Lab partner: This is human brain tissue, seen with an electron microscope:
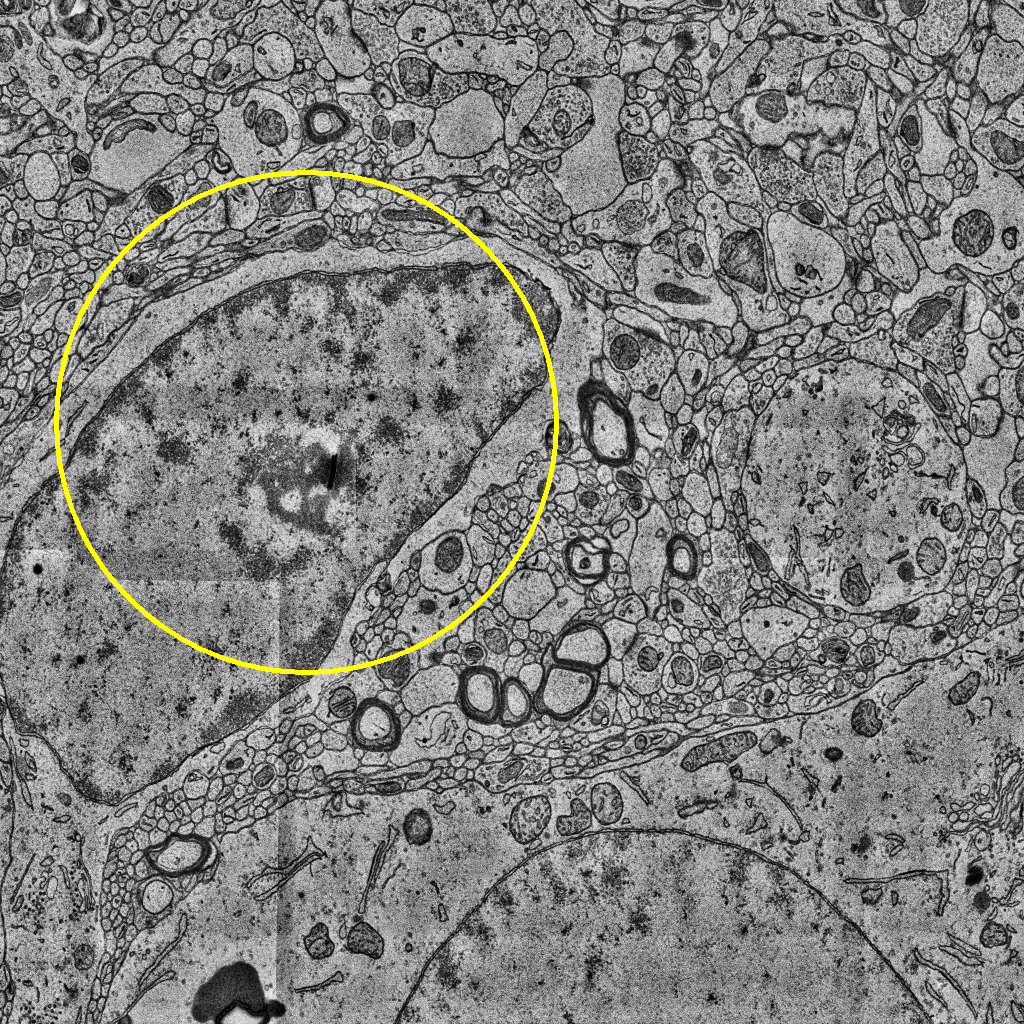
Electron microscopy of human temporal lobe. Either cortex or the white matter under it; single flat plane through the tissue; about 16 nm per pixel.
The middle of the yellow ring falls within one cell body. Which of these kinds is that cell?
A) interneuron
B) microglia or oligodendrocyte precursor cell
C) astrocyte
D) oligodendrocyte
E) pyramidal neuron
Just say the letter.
B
